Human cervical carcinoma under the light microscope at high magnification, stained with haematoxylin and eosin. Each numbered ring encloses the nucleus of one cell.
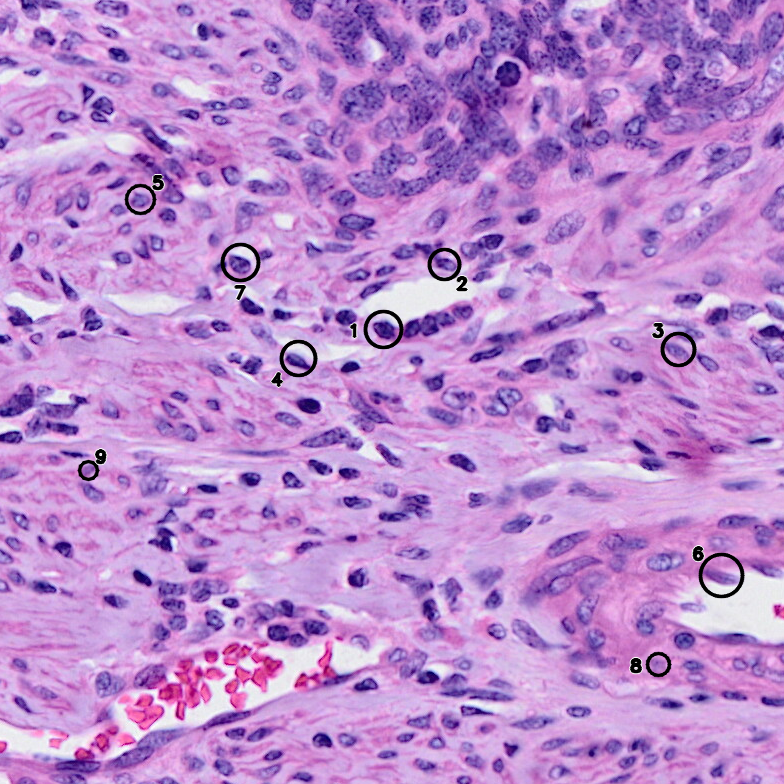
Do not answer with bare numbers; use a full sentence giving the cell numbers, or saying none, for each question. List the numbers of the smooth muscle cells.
The cells which carry the numbers 3, 5, 8 and 9 are smooth muscle cells.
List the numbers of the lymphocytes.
In this section, the cells numbered 1, 2, 4 and 7 are lymphocytes.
